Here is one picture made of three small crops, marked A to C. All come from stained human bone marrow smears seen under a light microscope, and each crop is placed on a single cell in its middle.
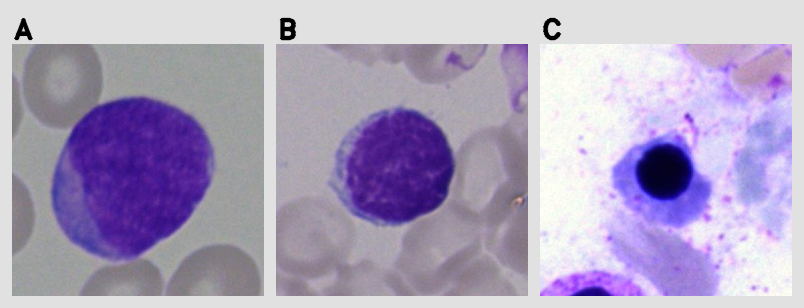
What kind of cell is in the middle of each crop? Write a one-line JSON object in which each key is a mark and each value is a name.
{"A": "blast", "B": "lymphocyte", "C": "erythroblast"}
